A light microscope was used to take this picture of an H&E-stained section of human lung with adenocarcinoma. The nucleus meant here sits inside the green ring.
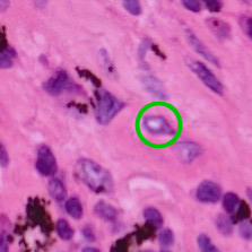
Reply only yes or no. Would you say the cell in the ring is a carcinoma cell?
no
